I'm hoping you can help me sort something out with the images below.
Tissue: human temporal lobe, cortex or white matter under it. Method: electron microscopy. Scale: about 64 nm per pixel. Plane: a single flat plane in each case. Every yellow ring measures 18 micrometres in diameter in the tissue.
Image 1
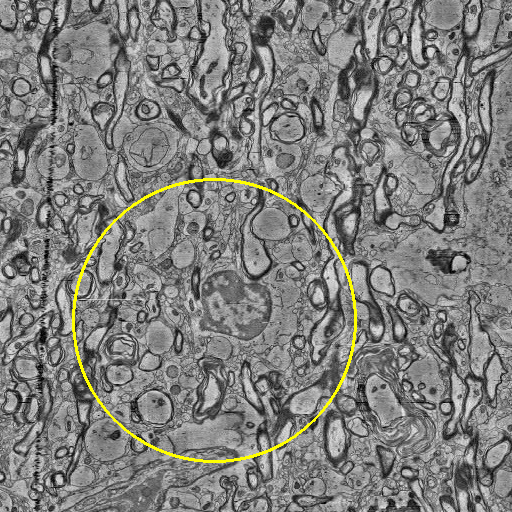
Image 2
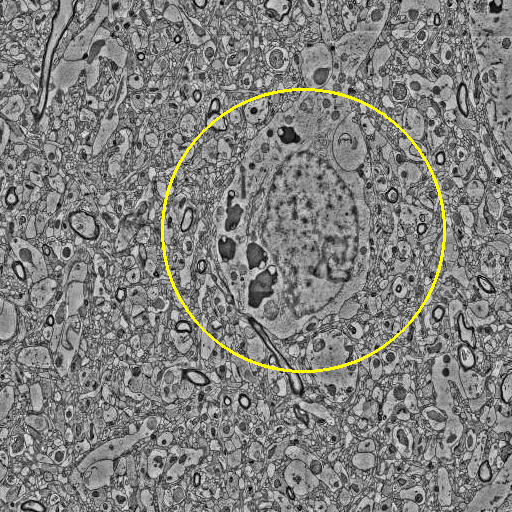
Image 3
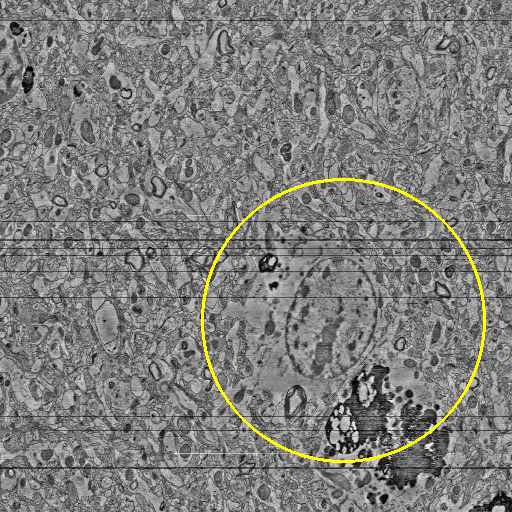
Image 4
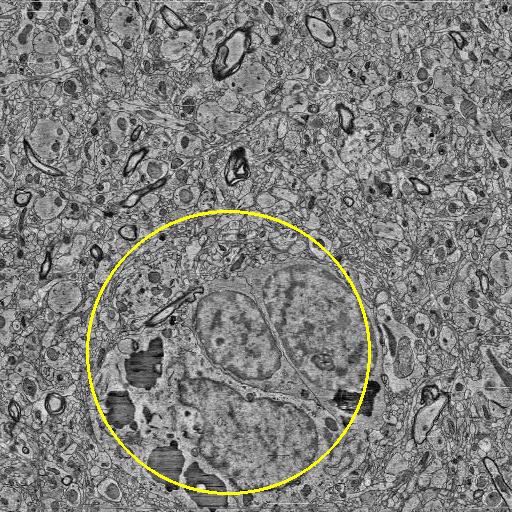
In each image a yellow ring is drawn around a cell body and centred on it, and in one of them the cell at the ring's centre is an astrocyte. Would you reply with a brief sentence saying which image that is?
In Image 3, the cell at the centre of the ring is the one you asked about.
